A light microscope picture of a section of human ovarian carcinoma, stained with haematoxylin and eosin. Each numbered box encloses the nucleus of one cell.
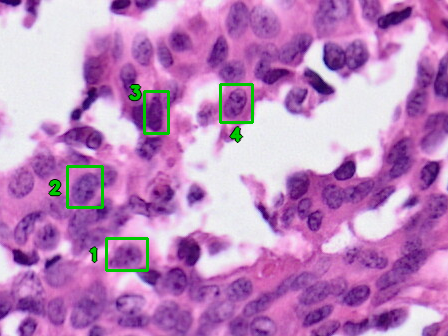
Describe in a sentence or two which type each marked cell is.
Cells 1, 2 and 3 are carcinoma cells. Cell 4 is a macrophage or monocyte.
